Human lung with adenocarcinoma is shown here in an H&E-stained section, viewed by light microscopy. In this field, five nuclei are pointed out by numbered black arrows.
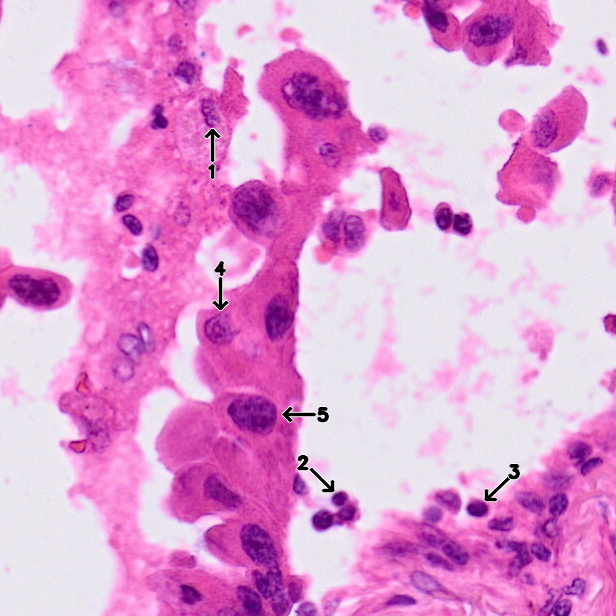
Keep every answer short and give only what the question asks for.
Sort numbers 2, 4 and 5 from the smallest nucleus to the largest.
2, 4, 5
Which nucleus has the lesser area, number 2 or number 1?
2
